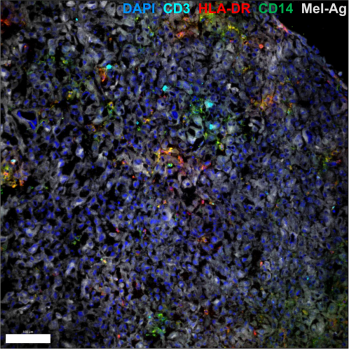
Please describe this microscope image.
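This lower-power view shows melanoma tissue infiltrated by immune cells. Most of the field is filled by tumor cells whose cytoplasm is grey-white and whose nuclei are blue. Scattered among them are small cells in green, red or yellow-orange, and a few bright cyan cells. The immune cells are spread unevenly, gathering more toward the upper part of the field.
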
